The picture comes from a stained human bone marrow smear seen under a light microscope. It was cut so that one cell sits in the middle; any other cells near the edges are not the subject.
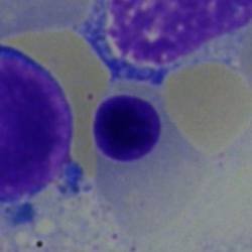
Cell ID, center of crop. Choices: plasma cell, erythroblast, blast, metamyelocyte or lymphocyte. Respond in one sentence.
On this slide crop, the central cell is an erythroblast.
